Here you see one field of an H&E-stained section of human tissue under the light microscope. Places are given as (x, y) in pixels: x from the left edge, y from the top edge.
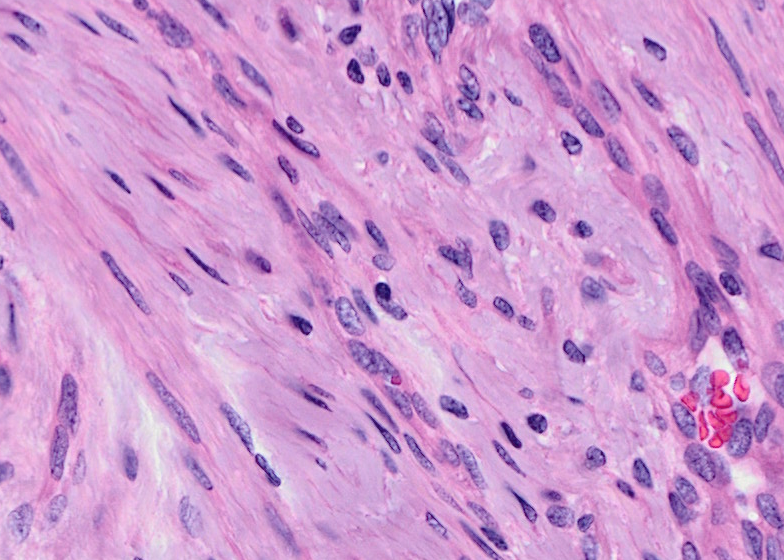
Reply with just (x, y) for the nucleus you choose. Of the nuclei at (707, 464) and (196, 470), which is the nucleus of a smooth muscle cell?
(196, 470)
